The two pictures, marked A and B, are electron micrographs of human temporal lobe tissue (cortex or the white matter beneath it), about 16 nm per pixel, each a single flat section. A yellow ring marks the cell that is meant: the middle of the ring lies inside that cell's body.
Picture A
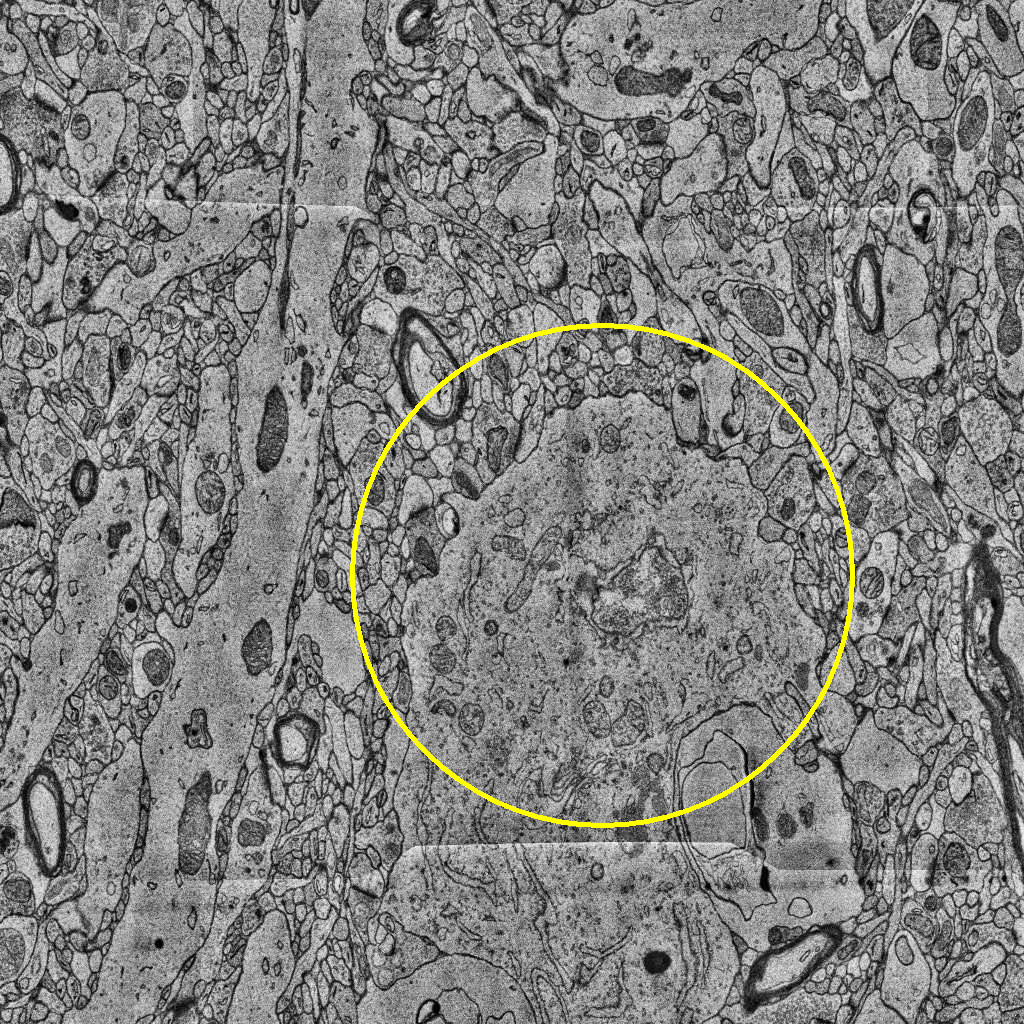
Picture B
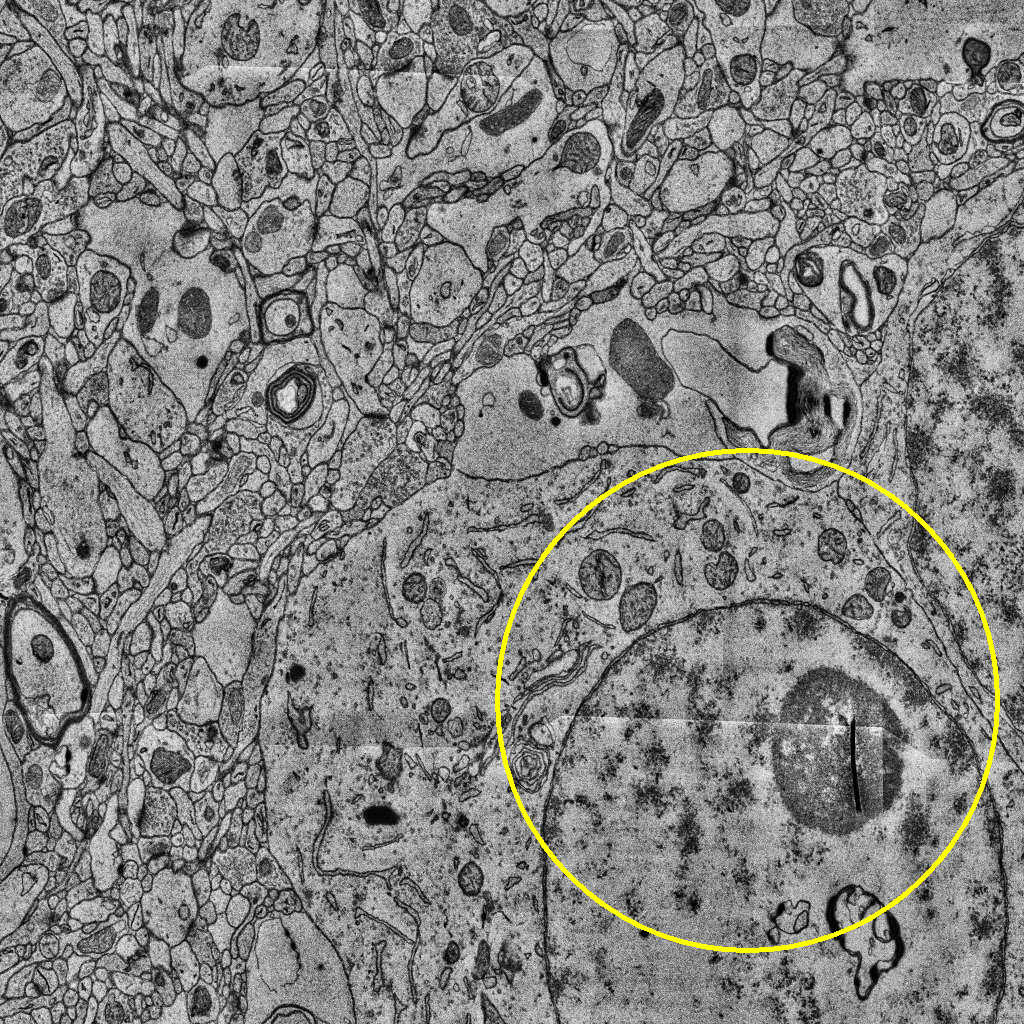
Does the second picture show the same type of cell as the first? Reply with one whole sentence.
No, picture A shows an interneuron and picture B shows a pyramidal neuron.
